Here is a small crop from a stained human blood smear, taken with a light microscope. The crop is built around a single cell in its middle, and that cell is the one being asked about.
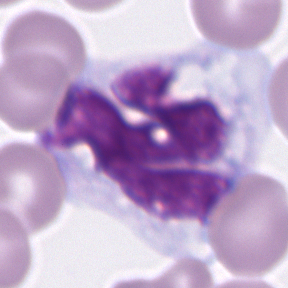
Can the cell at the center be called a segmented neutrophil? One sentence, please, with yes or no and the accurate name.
No, the cell located centrally is a monocyte rather than a segmented neutrophil.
